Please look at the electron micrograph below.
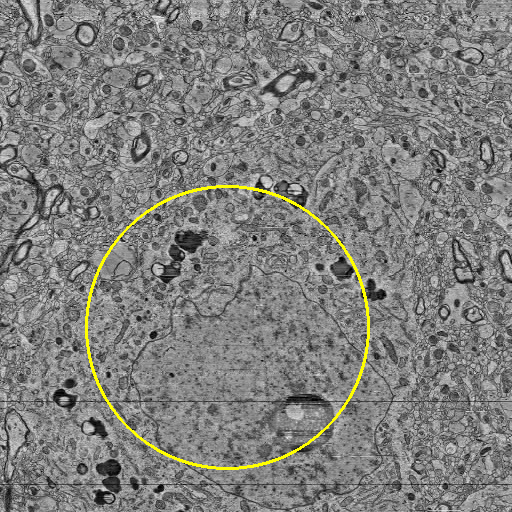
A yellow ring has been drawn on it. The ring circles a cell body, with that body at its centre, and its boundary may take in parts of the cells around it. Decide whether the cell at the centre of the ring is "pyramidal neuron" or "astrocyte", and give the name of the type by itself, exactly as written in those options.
pyramidal neuron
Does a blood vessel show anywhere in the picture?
No, none is visible.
